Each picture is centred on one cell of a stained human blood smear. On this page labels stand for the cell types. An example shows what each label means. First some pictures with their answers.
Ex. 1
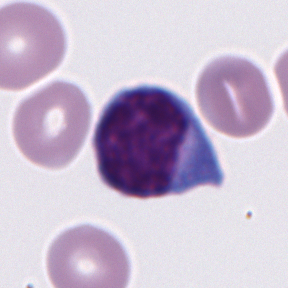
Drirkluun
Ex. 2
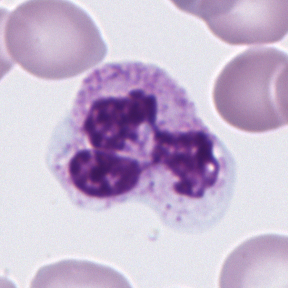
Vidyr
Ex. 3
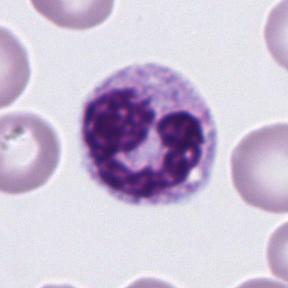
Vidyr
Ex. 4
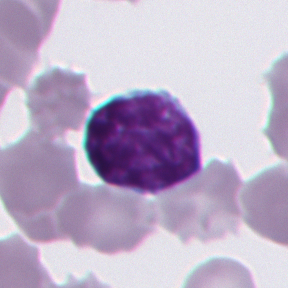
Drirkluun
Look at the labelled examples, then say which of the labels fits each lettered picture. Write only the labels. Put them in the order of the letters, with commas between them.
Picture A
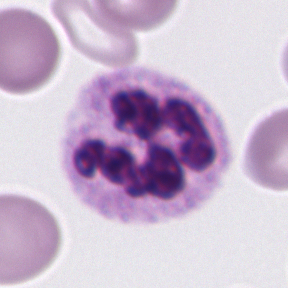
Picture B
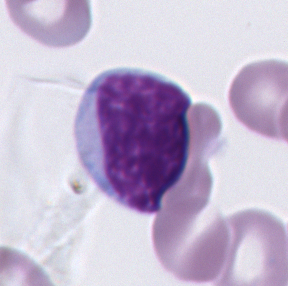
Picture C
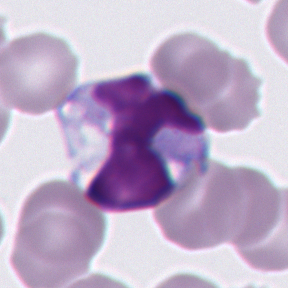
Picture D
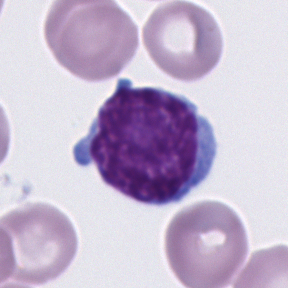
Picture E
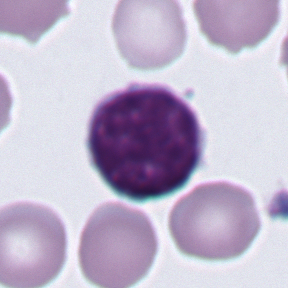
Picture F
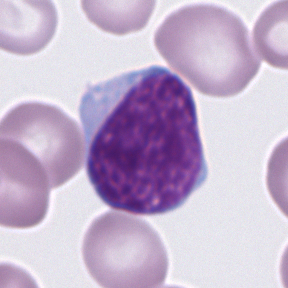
Vidyr, Drirkluun, Drirkluun, Drirkluun, Drirkluun, Drirkluun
